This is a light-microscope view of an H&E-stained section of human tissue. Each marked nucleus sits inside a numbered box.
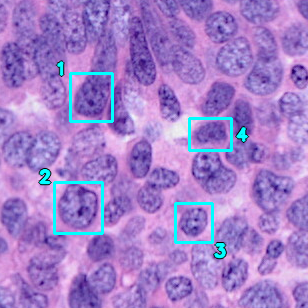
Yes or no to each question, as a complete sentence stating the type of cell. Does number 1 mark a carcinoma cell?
Yes, the cell corresponding to number 1 is a carcinoma cell.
